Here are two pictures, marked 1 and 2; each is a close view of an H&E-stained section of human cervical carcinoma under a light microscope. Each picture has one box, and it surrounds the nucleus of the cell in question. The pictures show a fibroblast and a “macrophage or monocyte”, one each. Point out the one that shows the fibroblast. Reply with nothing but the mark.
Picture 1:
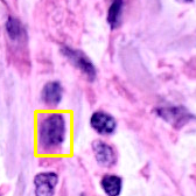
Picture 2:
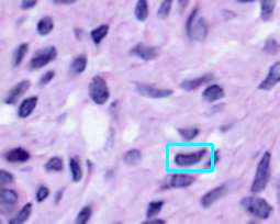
2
